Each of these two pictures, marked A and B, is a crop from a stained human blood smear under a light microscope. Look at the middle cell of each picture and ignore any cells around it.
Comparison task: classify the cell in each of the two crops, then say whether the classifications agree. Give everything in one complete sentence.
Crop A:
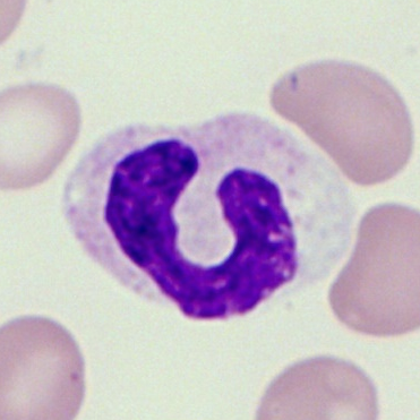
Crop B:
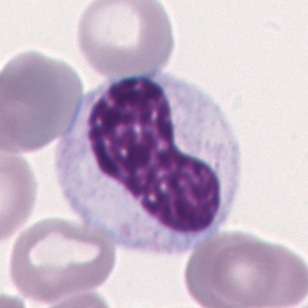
Yes, the central cells in both of the crops are band neutrophils.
